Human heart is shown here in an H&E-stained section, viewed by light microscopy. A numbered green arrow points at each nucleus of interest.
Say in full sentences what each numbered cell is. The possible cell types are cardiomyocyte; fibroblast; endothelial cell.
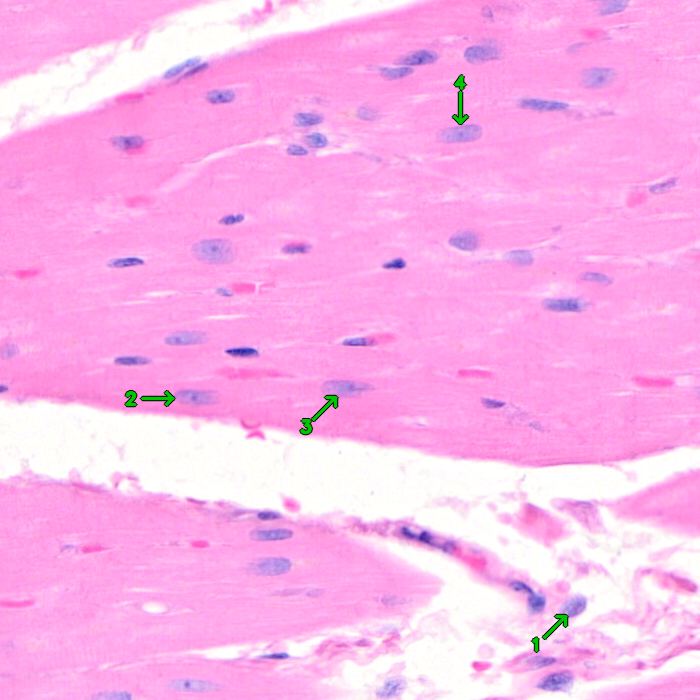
Cell 1 is a fibroblast, cell 2 is a cardiomyocyte, cell 3 is a cardiomyocyte and cell 4 is a cardiomyocyte.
